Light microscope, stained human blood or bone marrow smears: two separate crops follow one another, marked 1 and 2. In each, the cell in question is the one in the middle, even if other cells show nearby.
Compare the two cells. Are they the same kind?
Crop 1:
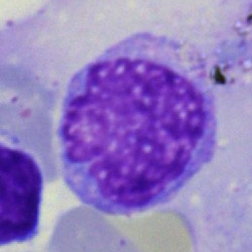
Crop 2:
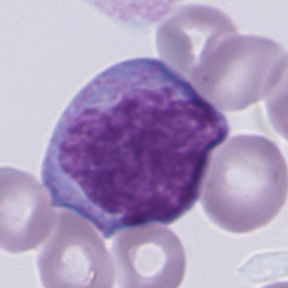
no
